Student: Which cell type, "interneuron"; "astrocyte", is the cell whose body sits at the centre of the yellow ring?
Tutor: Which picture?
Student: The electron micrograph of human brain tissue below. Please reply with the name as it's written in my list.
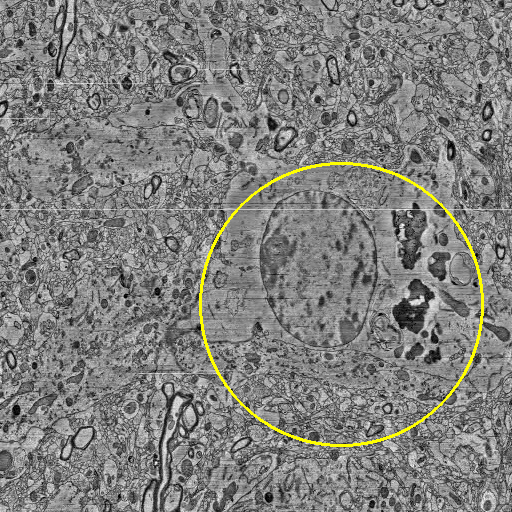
astrocyte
